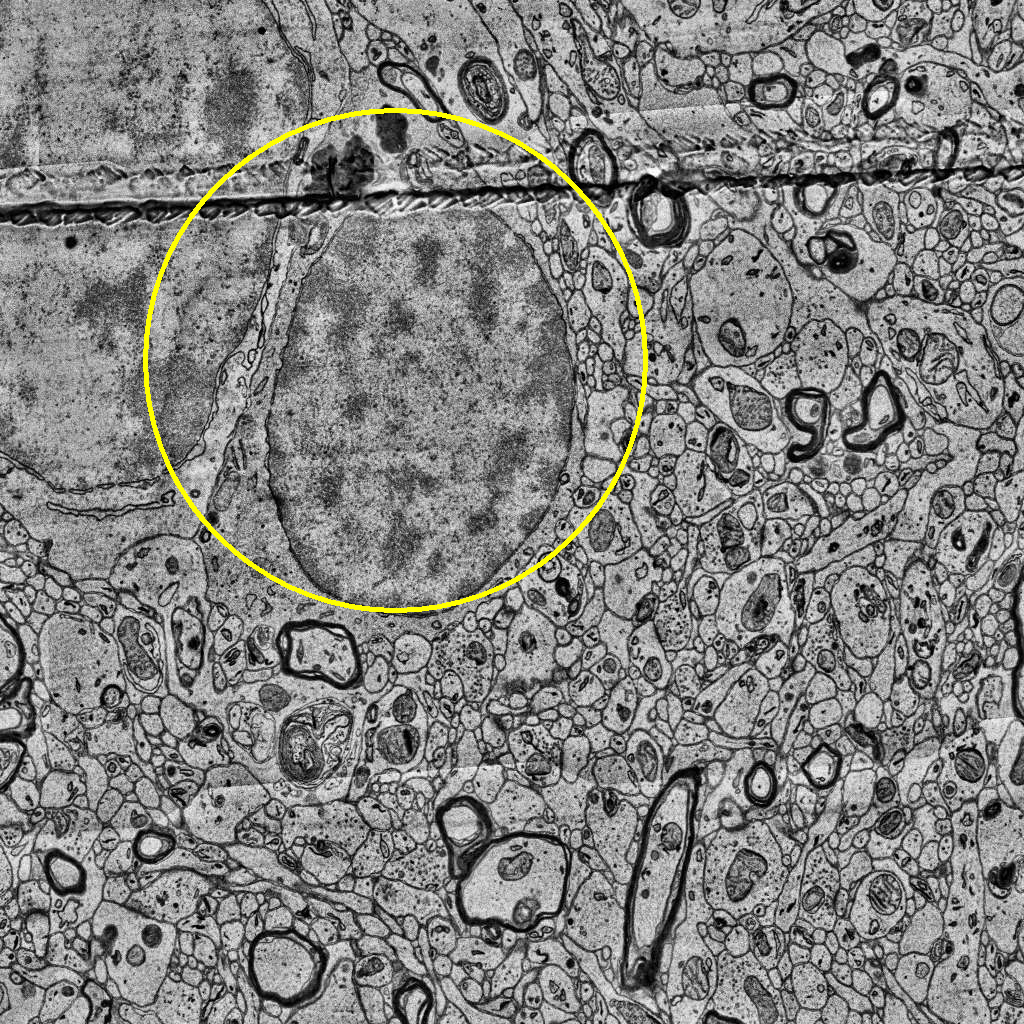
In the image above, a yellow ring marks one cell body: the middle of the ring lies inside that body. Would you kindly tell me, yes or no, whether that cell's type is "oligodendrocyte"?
yes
